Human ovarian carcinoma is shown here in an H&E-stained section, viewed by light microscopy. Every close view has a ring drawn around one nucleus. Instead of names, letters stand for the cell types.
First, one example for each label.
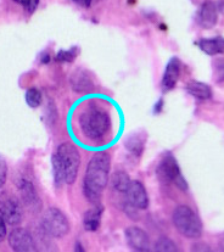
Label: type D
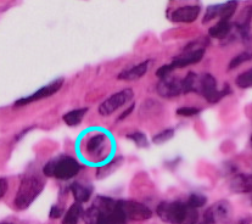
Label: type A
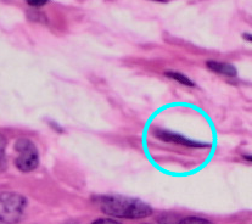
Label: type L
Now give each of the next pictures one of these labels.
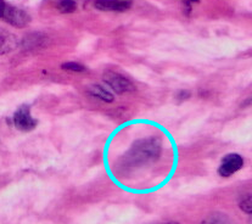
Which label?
type L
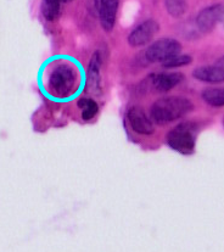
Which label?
type D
